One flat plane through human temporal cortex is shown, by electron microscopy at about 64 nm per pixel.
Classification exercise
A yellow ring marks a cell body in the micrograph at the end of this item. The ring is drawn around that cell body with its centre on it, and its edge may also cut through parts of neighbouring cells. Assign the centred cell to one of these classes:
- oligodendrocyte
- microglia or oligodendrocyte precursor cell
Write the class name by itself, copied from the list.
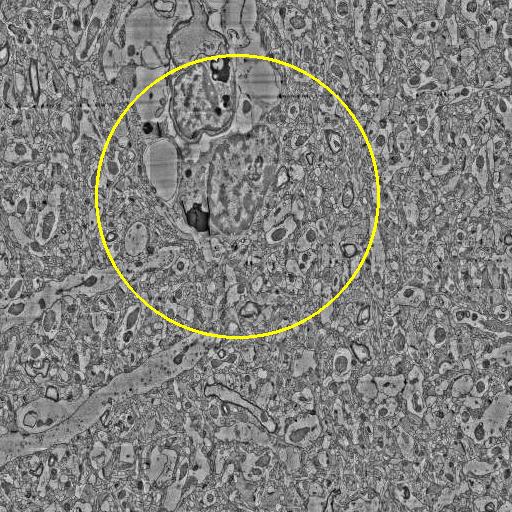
oligodendrocyte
